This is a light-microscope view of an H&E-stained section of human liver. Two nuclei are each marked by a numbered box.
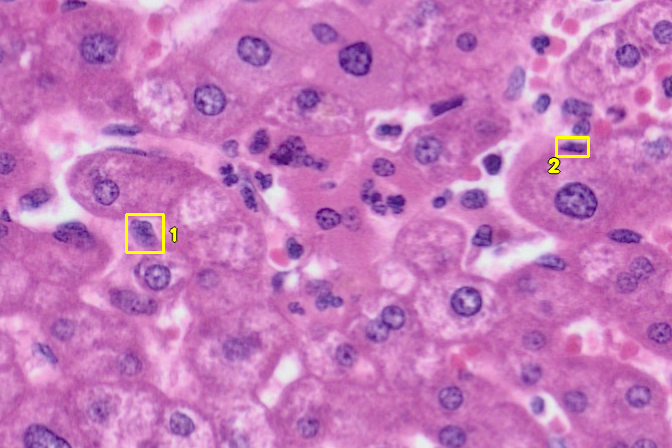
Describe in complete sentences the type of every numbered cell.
Cell 1 is an endothelial cell and cell 2 is a fibroblast or stellate cell.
